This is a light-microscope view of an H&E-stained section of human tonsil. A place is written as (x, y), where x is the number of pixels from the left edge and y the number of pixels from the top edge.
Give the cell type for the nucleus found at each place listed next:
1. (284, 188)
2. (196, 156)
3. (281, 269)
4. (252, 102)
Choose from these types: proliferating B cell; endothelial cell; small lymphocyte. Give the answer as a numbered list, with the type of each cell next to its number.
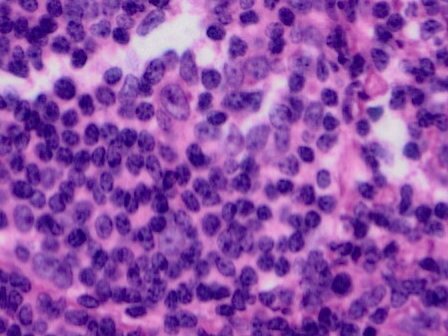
1. small lymphocyte
2. small lymphocyte
3. small lymphocyte
4. proliferating B cell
